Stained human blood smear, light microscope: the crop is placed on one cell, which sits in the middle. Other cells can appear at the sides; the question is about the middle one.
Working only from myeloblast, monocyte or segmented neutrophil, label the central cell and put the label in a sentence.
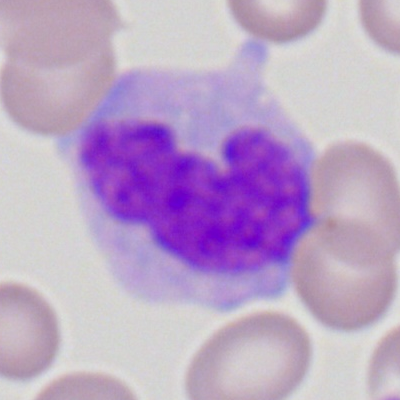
Regarding the central cell, it is a monocyte.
